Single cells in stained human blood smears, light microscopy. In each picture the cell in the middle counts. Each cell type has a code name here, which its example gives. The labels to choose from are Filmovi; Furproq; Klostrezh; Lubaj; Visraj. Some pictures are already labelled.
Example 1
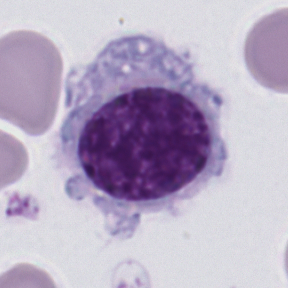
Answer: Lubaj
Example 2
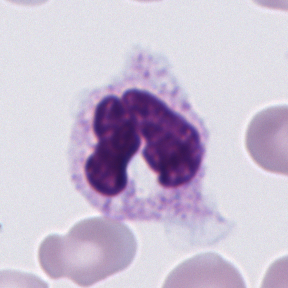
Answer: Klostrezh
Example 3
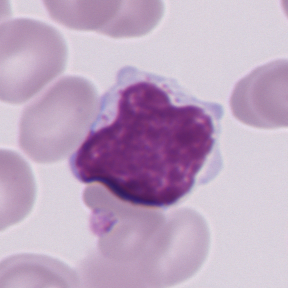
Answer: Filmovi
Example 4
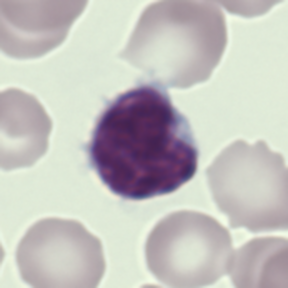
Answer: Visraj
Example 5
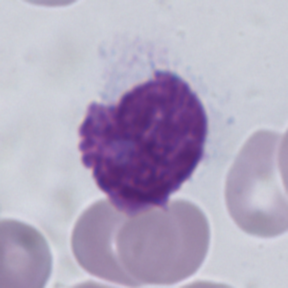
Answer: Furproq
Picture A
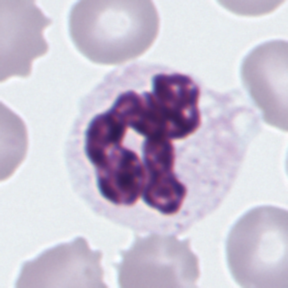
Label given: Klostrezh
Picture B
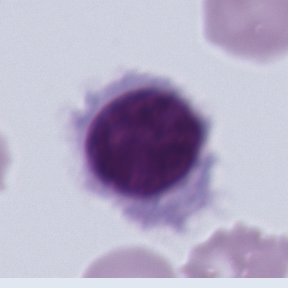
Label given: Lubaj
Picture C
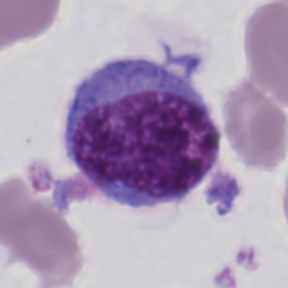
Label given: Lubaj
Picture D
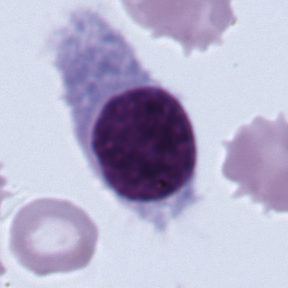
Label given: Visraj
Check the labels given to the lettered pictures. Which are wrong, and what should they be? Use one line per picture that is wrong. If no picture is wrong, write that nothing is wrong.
B should be Visraj, not Lubaj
